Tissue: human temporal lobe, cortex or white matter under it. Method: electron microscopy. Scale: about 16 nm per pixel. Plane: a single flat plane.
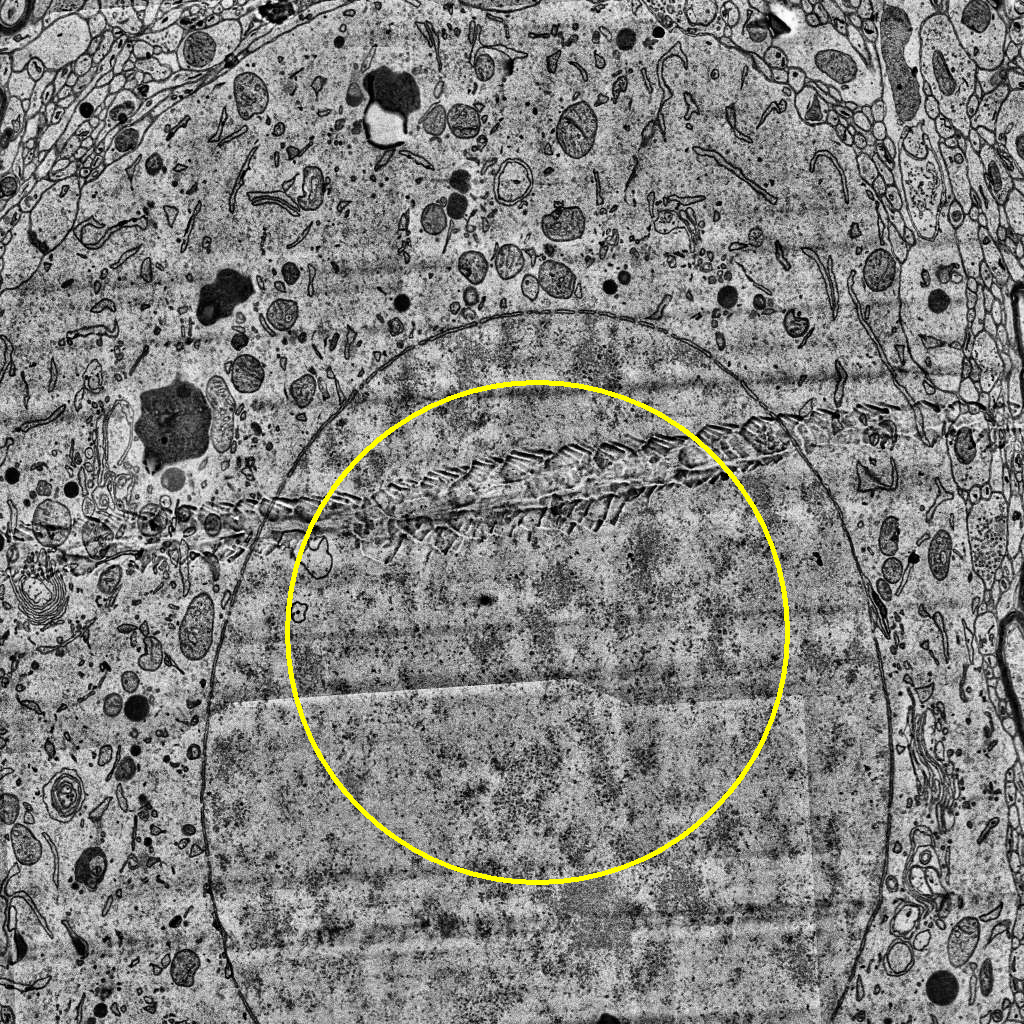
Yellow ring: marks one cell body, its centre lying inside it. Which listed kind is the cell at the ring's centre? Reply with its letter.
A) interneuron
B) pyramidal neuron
B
